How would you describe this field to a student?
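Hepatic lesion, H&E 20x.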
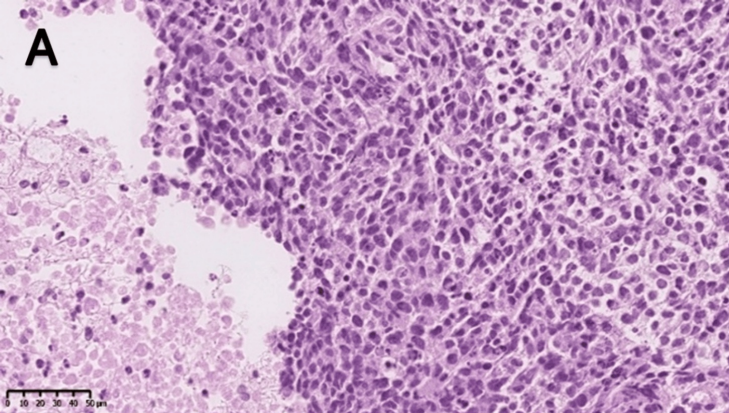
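Sheets of a poorly differentiated neoplasm composed of crowded cells with oval to elongated, dark purple nuclei and scant cytoplasm, without glandular or other organized structures. On the left the cellular sheets border a pale pink area of granular necrotic debris with only scattered dark nuclear fragments.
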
